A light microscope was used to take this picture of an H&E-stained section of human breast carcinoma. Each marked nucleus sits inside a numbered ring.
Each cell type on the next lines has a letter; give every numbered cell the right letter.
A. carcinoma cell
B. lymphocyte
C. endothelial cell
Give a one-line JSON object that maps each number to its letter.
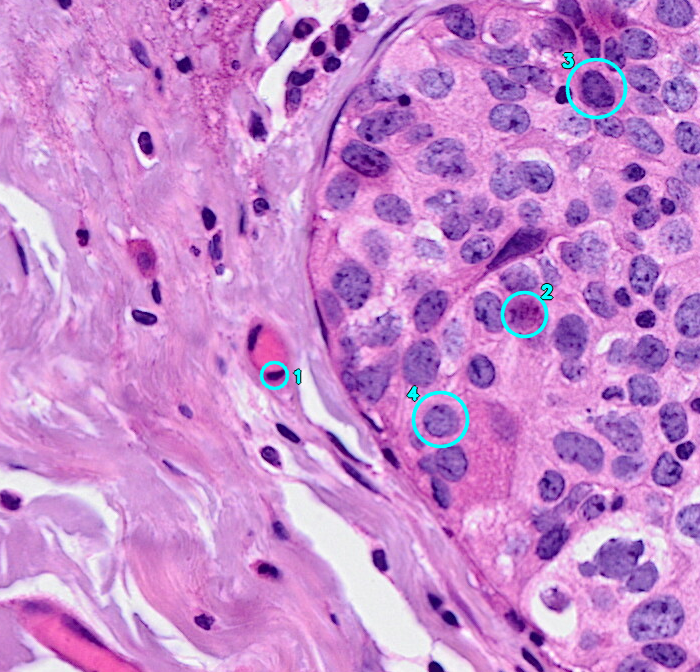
{"1": "C", "2": "A", "3": "A", "4": "A"}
